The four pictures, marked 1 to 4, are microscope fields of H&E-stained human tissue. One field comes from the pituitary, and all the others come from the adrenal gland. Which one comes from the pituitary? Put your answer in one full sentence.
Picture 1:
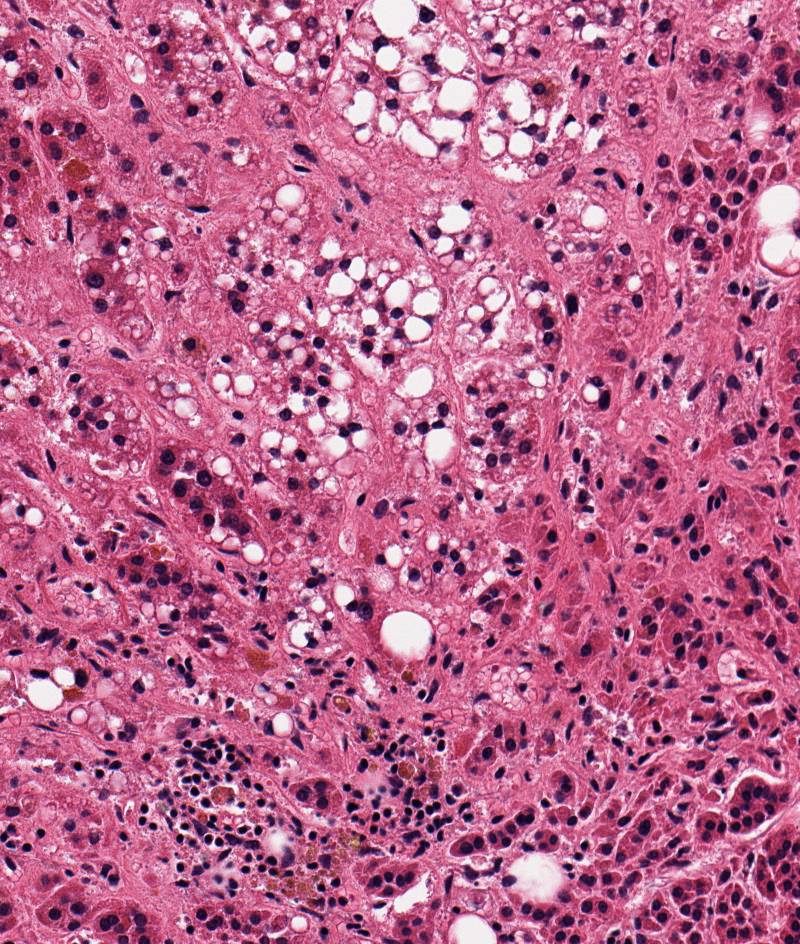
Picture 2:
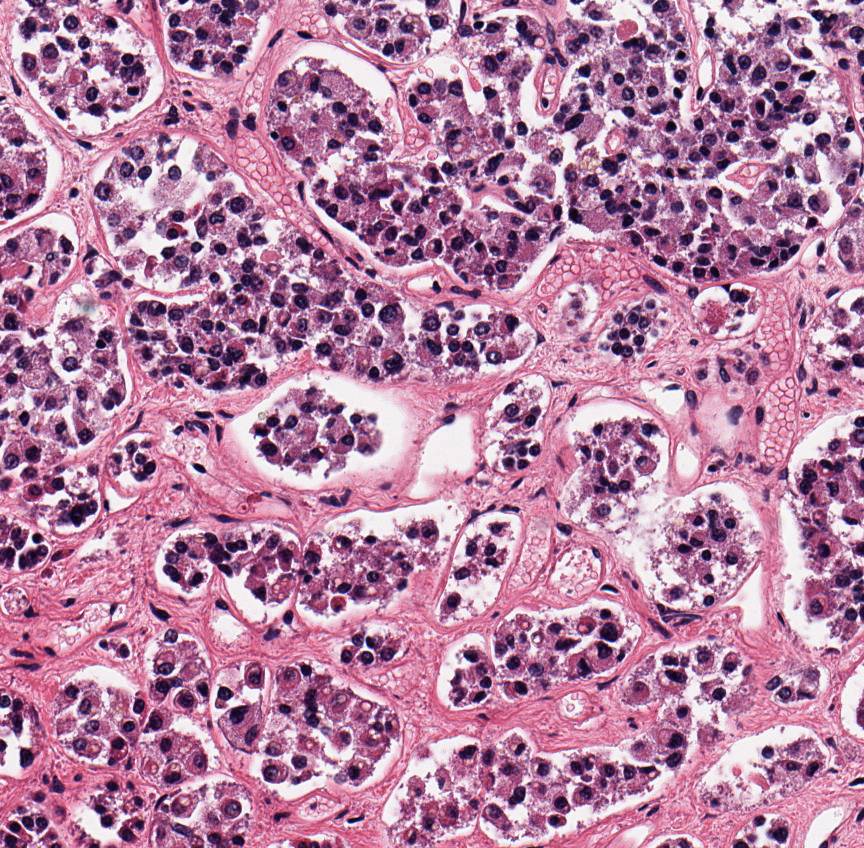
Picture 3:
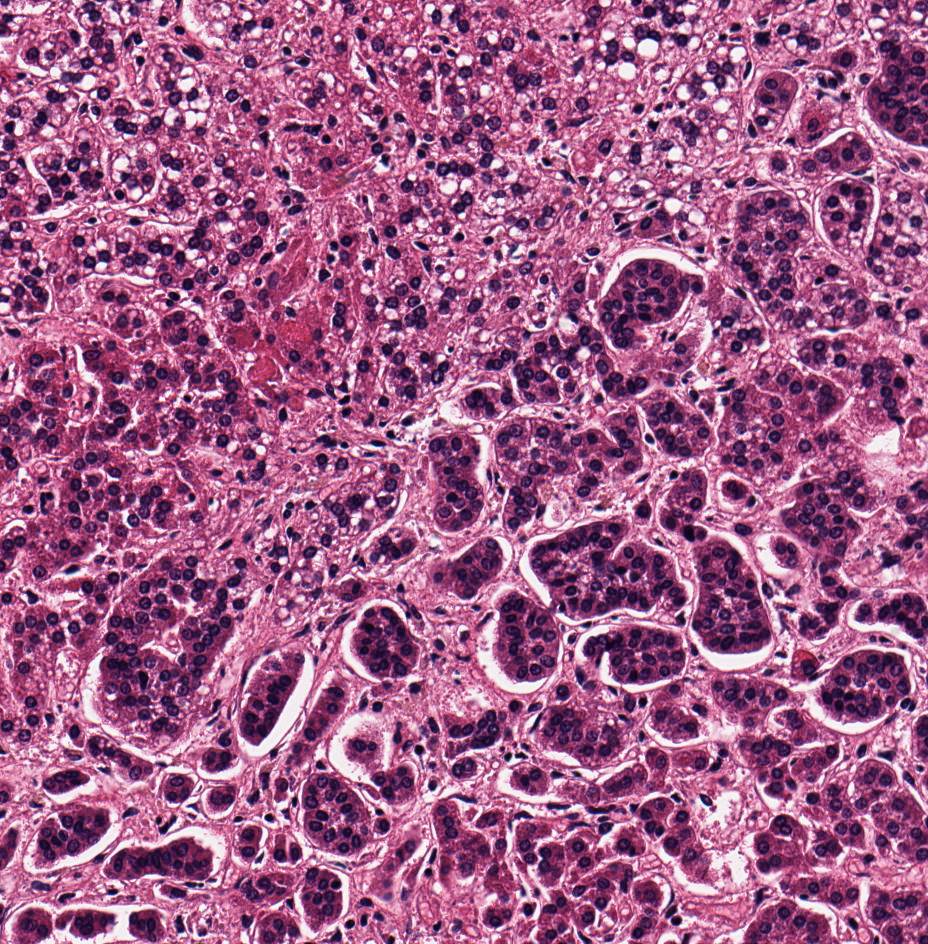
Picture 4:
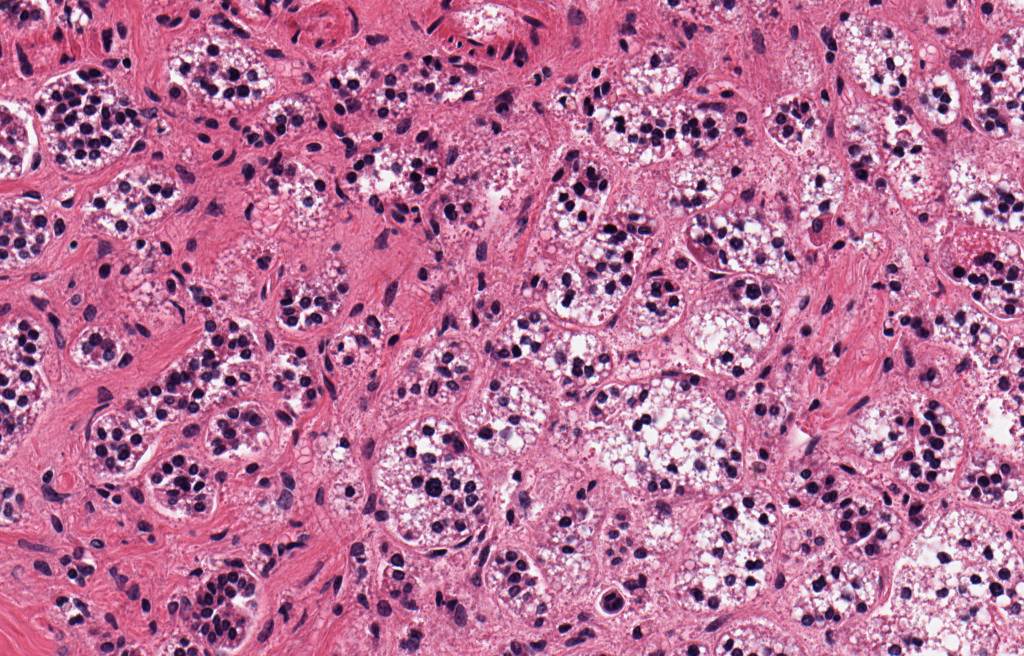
It is picture 2 that comes from the pituitary.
